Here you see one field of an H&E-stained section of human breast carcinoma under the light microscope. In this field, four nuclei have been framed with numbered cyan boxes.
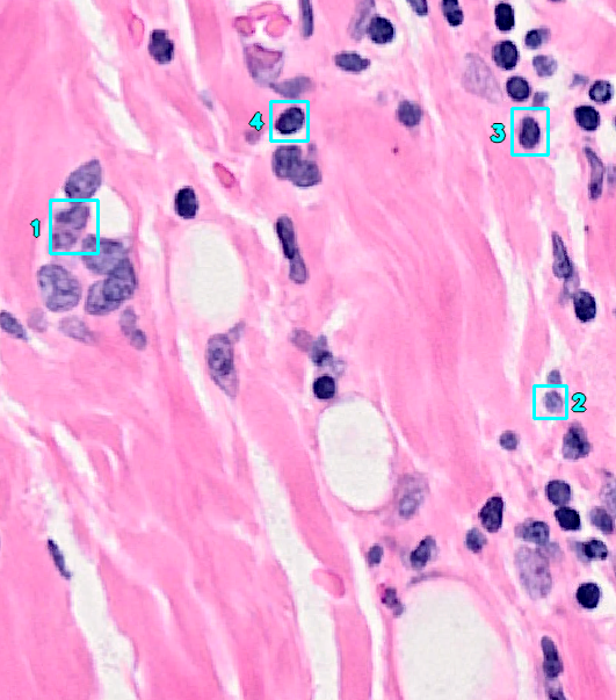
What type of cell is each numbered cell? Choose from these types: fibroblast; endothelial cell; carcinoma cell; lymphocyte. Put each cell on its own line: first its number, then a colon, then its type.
1: carcinoma cell
2: lymphocyte
3: lymphocyte
4: lymphocyte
